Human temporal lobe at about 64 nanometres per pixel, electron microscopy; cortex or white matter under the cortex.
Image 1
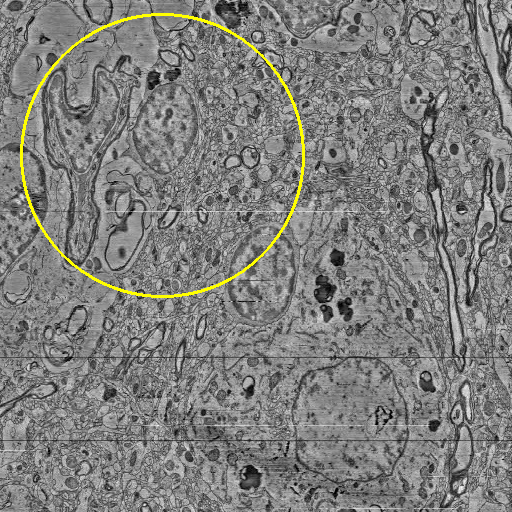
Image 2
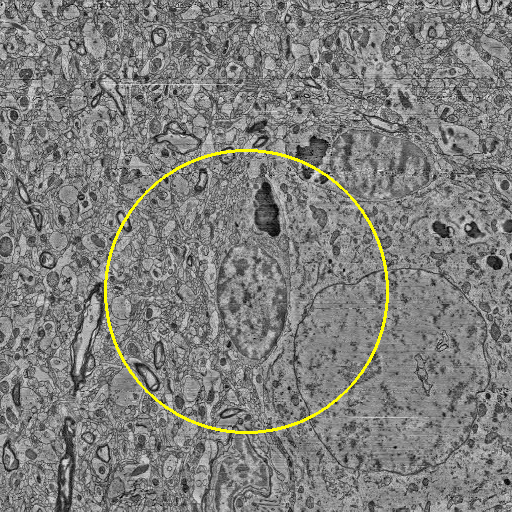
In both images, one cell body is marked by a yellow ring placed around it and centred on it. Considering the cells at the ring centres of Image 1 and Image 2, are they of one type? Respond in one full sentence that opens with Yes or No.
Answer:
Yes, a single type applies to the ring-centred cells of both Image 1 and Image 2.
